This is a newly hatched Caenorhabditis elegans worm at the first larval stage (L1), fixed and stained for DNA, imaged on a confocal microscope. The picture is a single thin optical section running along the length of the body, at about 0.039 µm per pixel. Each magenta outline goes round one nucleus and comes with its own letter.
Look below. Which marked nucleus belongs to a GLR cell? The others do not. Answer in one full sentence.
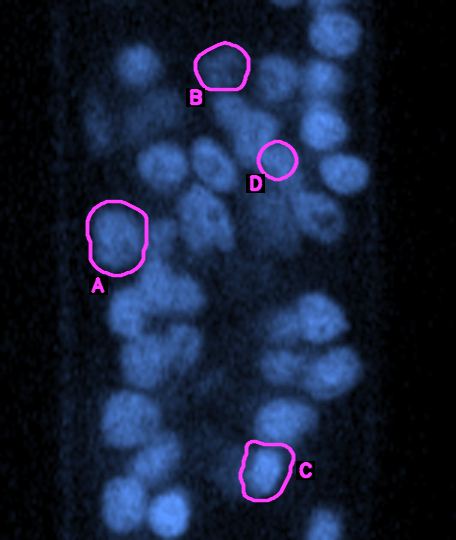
The one from a GLR cell is C.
